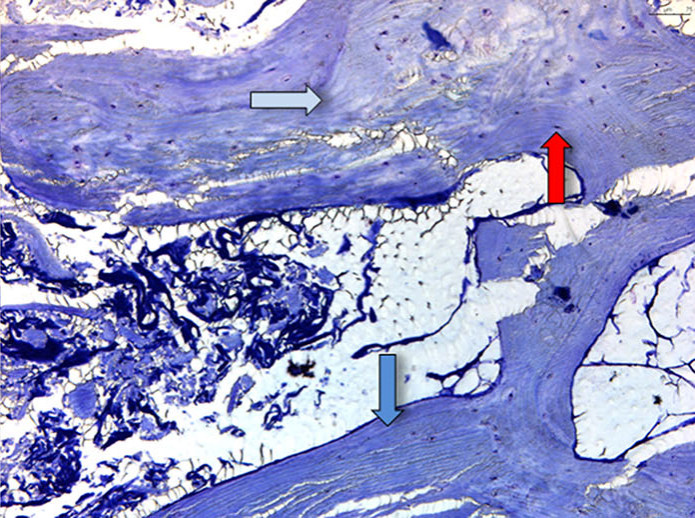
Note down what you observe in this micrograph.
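Trabecular bone in section, with broad blue-stained lamellar matrix in which small dark osteocytes lie singly and widely spaced. The lamellae run roughly parallel to the long axis of the trabeculae. Between the trabeculae lies a large pale space containing a fine network of thin blue strands and, to one side, clumps of dark blue fragmented material. The surfaces of the trabeculae facing this space are bordered by thin, darker blue lines. Parts of the matrix show fine cracks and slight separation of the layers.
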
